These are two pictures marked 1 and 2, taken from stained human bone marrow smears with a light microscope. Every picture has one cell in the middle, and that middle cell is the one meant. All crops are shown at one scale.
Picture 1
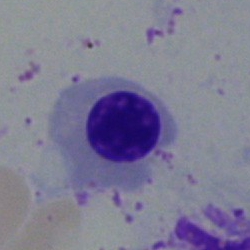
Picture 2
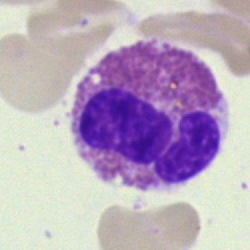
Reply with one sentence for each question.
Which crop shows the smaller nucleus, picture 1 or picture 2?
It is the nucleus in picture 1; the one in picture 2 has about 2 times its area.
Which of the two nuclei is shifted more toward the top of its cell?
It is the nucleus in picture 1 that lies further toward the top of its cell.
